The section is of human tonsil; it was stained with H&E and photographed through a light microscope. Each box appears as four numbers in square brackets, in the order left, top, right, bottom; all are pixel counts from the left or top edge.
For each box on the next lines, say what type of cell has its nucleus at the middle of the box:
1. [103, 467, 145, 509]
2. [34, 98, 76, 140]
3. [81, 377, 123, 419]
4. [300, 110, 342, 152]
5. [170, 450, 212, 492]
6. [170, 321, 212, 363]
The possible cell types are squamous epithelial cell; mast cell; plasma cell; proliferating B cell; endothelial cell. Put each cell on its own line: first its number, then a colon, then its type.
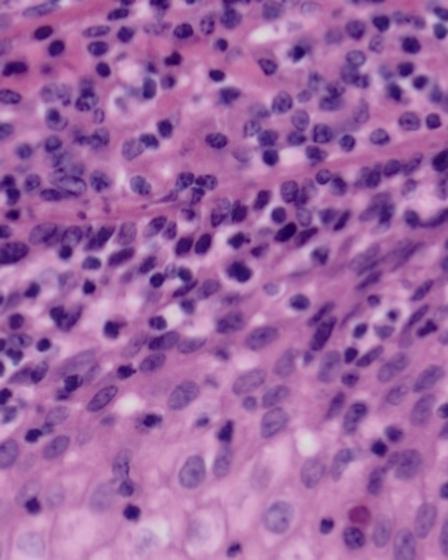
1: squamous epithelial cell
2: plasma cell
3: squamous epithelial cell
4: plasma cell
5: squamous epithelial cell
6: squamous epithelial cell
